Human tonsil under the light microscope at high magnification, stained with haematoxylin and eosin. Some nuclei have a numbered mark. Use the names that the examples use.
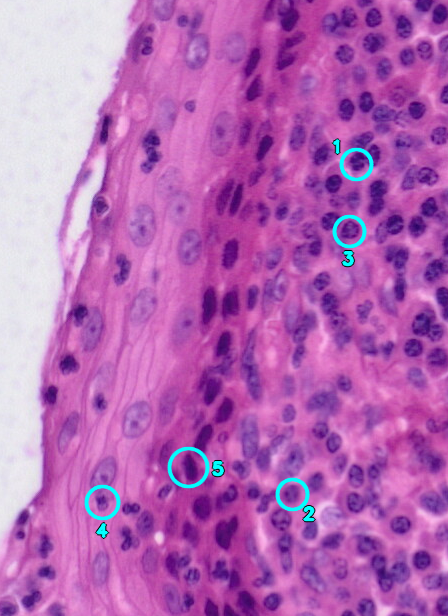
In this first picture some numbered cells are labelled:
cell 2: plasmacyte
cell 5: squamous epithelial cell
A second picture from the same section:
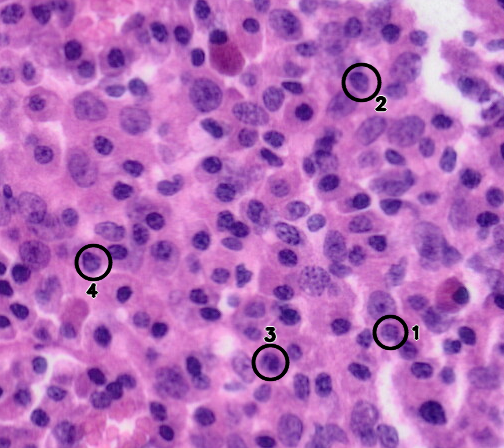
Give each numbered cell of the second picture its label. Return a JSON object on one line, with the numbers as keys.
{"1": "plasmacyte", "2": "squamous epithelial cell", "3": "plasmacyte", "4": "plasmacyte"}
